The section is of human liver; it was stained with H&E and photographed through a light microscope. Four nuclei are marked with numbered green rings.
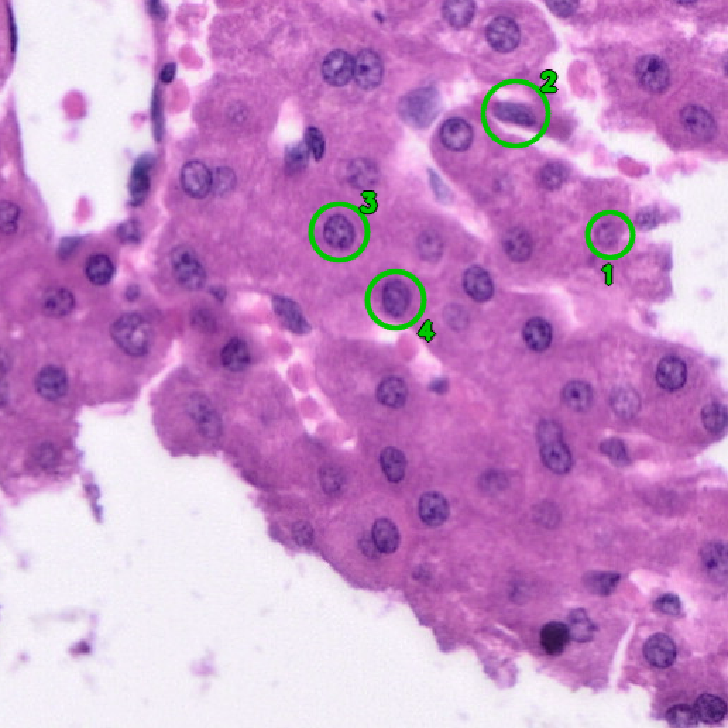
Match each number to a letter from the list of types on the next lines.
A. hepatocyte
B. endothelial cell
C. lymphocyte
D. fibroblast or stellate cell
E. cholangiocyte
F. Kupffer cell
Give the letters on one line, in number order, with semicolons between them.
A; F; A; A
